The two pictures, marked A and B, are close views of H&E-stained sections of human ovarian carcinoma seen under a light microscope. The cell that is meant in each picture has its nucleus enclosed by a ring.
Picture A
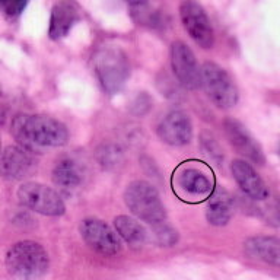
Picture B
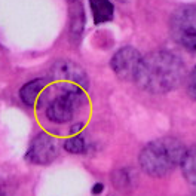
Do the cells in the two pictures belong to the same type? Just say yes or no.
no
